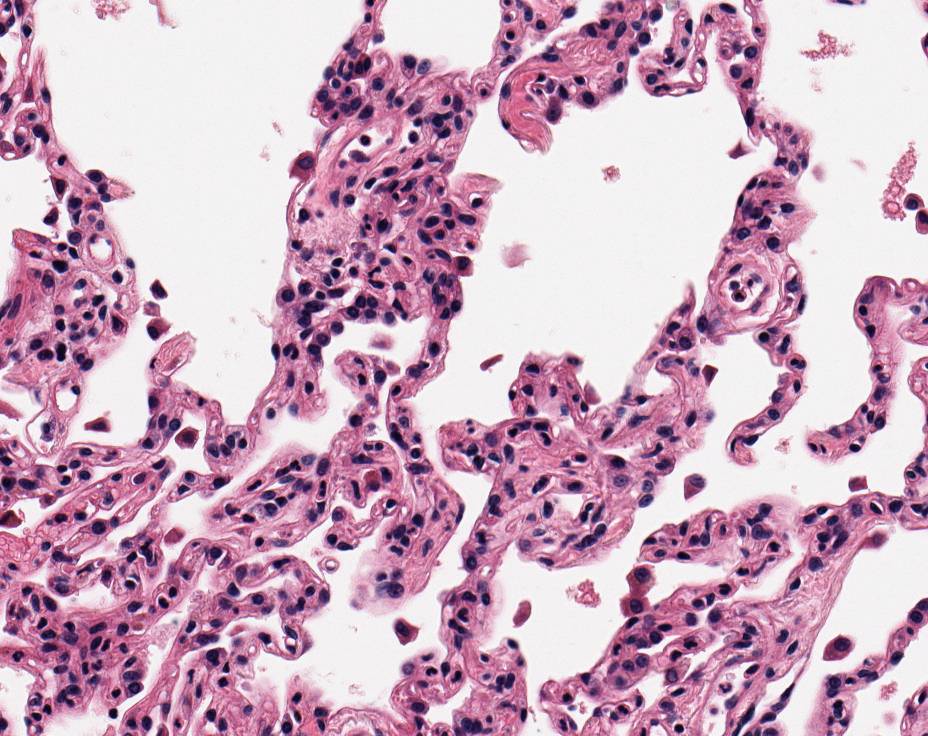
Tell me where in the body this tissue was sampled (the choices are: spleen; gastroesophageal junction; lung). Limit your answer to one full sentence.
The source of this tissue sample is the lung.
